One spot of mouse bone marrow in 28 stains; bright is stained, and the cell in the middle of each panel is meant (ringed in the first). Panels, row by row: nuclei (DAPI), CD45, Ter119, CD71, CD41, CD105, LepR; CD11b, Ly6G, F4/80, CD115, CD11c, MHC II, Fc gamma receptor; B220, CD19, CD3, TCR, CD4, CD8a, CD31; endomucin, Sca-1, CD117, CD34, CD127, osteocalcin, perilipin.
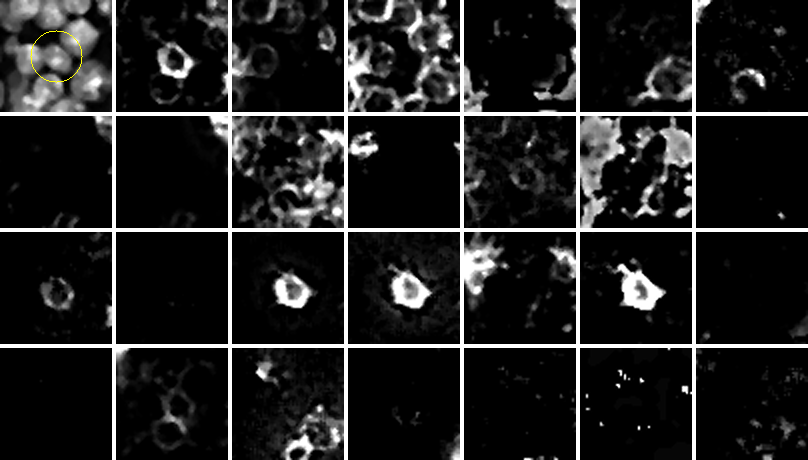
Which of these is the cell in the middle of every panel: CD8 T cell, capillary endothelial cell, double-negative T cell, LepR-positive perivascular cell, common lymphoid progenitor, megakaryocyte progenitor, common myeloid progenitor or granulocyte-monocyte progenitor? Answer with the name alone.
CD8 T cell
